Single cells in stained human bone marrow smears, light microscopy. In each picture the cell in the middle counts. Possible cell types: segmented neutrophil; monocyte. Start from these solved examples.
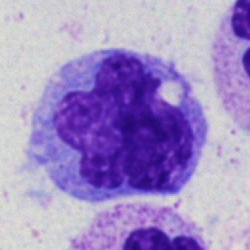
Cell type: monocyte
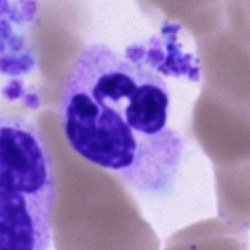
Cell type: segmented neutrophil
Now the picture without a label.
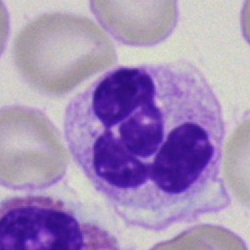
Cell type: segmented neutrophil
